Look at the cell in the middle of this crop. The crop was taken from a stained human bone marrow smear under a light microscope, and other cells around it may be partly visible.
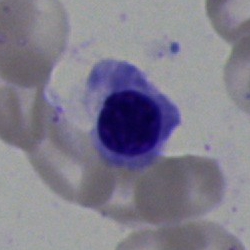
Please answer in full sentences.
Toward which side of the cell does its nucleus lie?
Seen from the middle of the cell, the nucleus lies toward the bottom.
